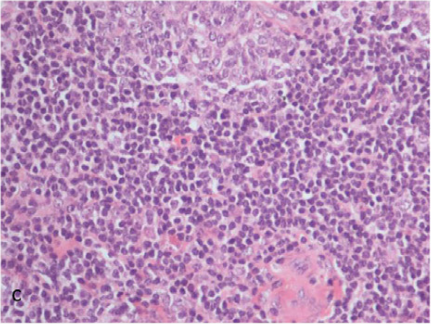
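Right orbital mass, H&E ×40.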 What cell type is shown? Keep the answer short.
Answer: Lymphocytes.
